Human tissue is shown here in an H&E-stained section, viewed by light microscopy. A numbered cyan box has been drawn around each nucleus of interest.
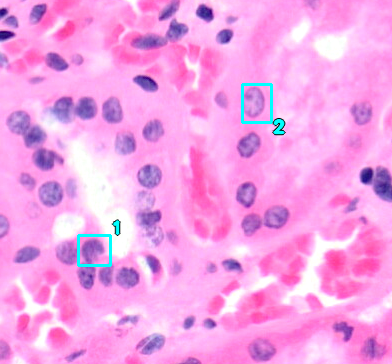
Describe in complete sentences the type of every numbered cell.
Cell 1 is a collecting duct cell and cell 2 is a proximal tubule cell.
